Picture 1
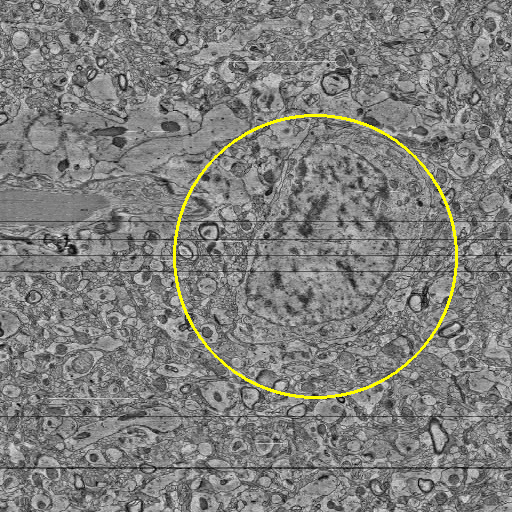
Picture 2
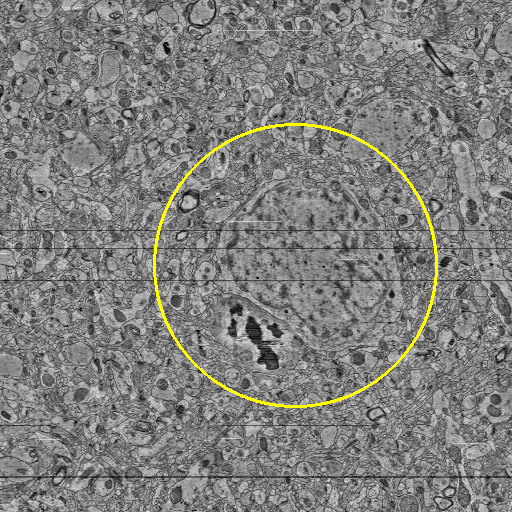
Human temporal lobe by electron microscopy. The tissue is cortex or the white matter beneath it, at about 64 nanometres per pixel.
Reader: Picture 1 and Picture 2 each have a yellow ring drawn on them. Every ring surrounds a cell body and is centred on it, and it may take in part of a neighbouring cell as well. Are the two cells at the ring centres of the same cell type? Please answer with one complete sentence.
Yes, both cells are of the same cell type.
